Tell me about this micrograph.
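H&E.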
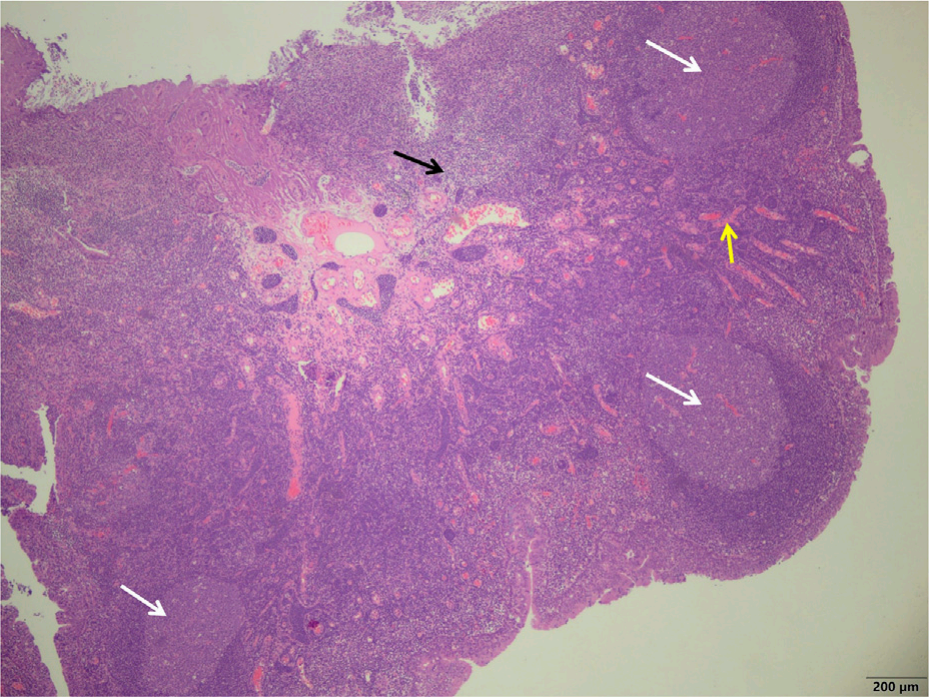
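This low-power section shows lymphoid tissue that is densely packed with small lymphocytes with dark purple nuclei. Several rounded germinal centers are present. Each germinal center is paler and more lightly cellular in its middle and is surrounded by a darker rim of tightly packed small lymphocytes. In the central part of the section lies a loose, pink-staining stroma. It contains blood vessels, including one with an open lumen, and several small dark-staining gland-like structures. Scattered small dark nuclei of inflammatory cells lie in the interstitium near this stroma. Elsewhere, elongated vessels filled with red blood cells run between the lymphoid areas.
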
